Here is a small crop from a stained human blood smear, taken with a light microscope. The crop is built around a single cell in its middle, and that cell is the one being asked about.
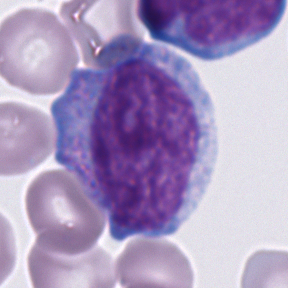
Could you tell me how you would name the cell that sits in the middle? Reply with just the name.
promyelocyte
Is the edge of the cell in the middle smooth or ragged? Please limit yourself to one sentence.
The cell margin is rough and uneven, either ragged or drawn into projections.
